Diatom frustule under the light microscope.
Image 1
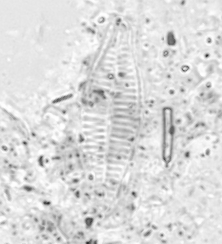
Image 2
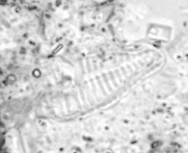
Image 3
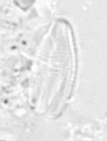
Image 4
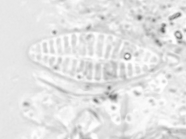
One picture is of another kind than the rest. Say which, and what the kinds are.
Picture 3 shows Achnanthidium; the rest show Planothidium.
